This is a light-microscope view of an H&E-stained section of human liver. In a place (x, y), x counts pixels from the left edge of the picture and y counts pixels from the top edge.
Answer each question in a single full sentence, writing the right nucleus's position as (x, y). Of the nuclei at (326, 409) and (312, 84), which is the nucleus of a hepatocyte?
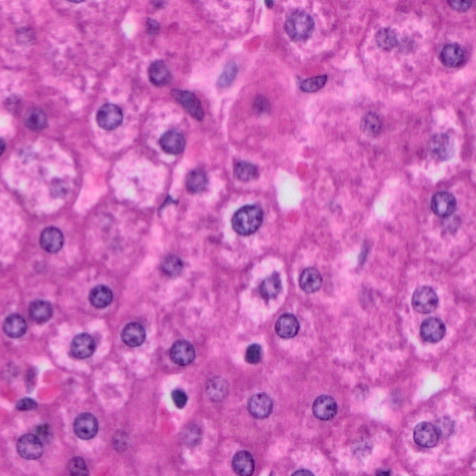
The nucleus whose cell is a hepatocyte is the one at (326, 409).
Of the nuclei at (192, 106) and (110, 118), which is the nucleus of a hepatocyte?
Among the two nuclei, the one found at (110, 118) belongs to a hepatocyte.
